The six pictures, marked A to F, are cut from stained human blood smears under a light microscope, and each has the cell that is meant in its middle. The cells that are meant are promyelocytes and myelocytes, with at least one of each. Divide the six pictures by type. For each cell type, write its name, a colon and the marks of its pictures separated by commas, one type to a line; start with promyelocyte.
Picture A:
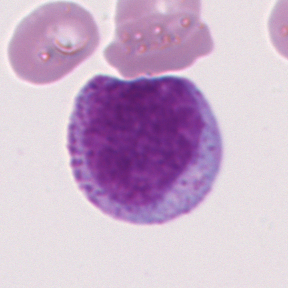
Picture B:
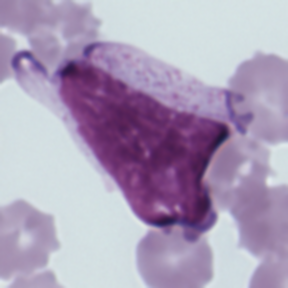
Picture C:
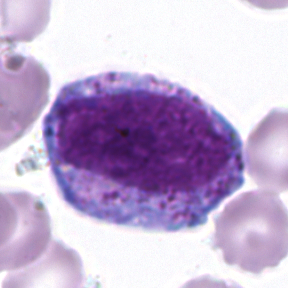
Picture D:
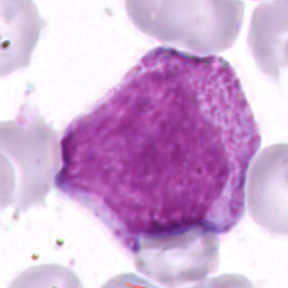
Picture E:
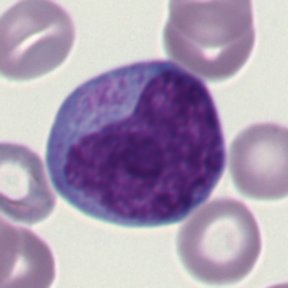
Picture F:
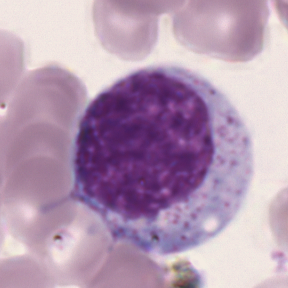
promyelocyte: C, E, F
myelocyte: A, B, D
